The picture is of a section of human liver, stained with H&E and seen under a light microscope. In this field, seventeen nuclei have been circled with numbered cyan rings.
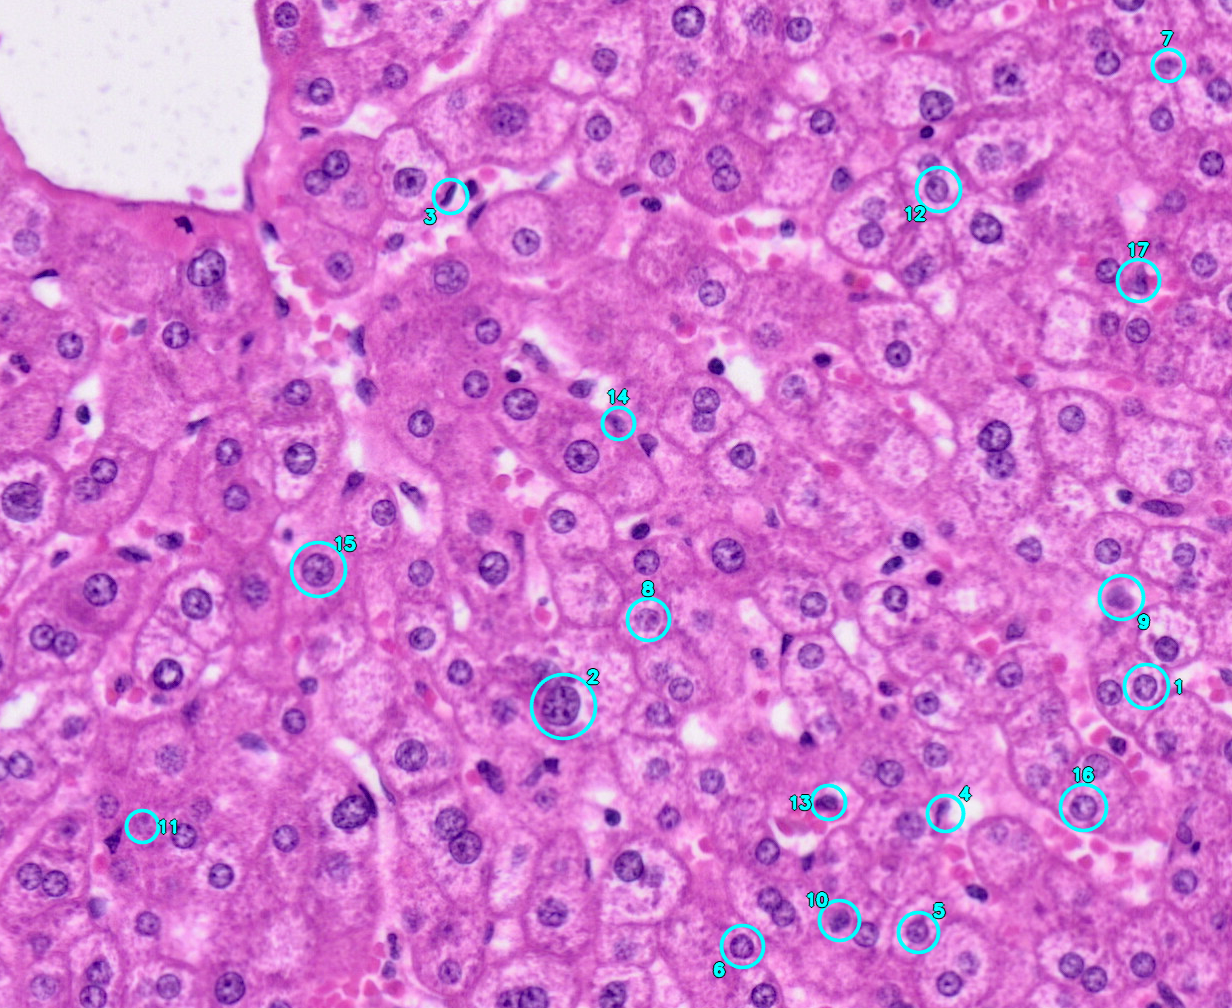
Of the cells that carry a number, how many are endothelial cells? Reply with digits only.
4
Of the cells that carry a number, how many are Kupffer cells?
3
